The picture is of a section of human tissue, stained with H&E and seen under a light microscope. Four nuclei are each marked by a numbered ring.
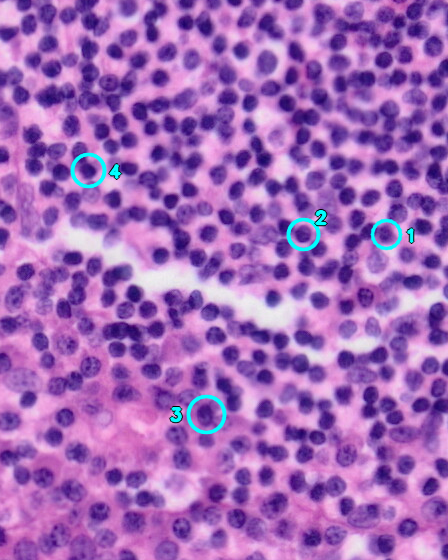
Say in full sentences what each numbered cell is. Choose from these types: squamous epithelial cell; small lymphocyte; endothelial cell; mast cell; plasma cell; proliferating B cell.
Cells 1, 2 and 4 are small lymphocytes. Cell 3 is a plasma cell.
